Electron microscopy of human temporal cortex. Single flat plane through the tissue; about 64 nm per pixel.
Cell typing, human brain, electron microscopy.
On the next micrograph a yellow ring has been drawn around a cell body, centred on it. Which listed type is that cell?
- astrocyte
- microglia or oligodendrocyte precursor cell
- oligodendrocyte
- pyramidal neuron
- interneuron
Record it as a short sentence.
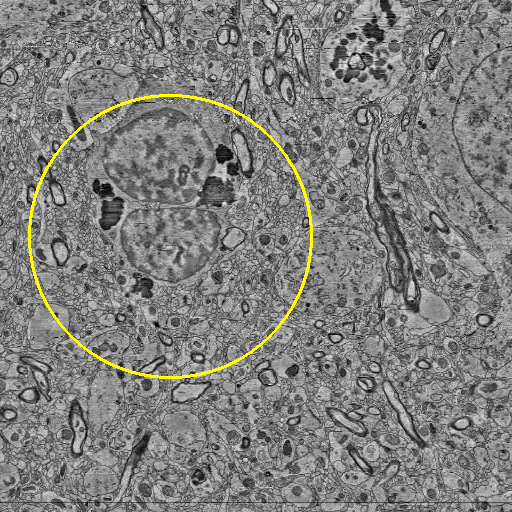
The cell body in the ring's centre belongs to an oligodendrocyte.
